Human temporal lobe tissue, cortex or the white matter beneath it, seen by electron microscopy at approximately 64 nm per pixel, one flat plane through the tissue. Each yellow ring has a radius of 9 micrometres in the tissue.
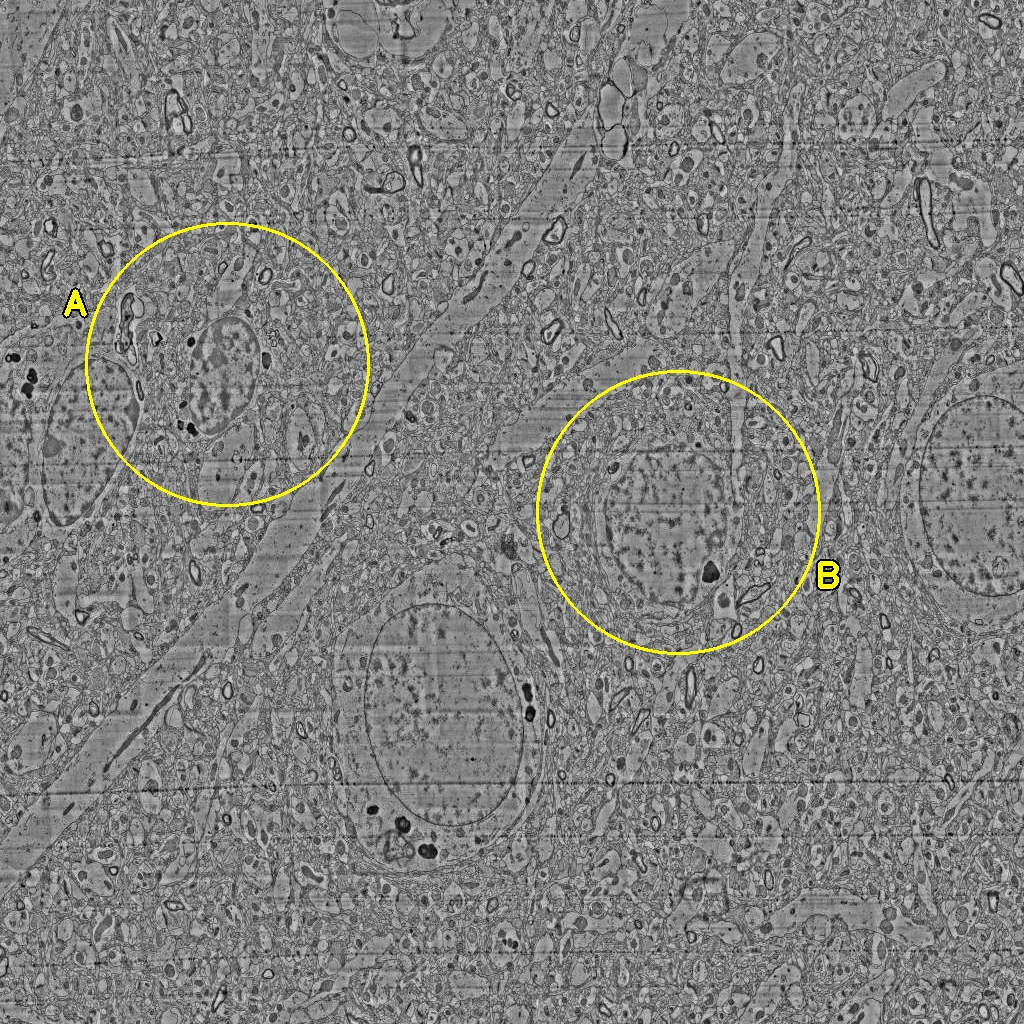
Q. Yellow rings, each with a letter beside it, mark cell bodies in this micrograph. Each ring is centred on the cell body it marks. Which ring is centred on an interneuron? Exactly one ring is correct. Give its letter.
B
